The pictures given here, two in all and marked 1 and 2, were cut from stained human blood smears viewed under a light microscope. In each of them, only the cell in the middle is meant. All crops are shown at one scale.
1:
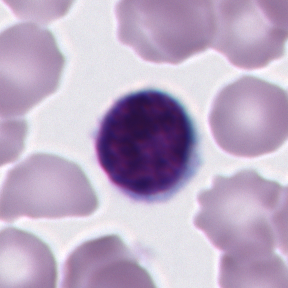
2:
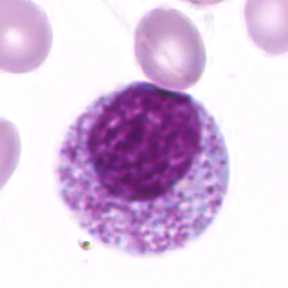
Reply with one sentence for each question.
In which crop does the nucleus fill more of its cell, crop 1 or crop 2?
In crop 1 the nucleus takes up the larger part of its cell.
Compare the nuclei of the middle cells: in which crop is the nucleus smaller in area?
It is the nucleus in crop 1; the one in crop 2 has about 1.5 times its area.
